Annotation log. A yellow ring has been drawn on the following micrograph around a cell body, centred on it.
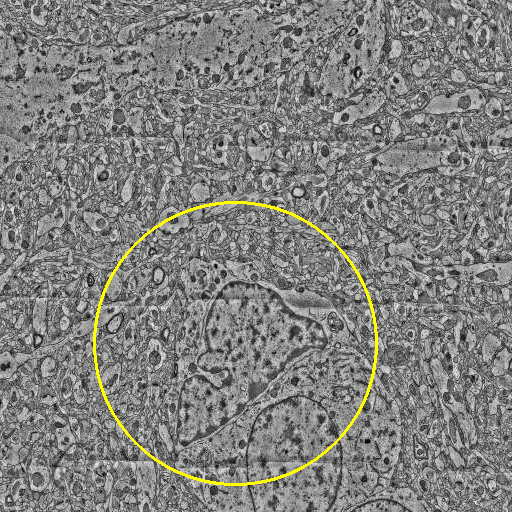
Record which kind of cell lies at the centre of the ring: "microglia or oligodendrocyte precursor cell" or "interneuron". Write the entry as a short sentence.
The cell the ring is centred on is a microglial cell or oligodendrocyte precursor cell.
